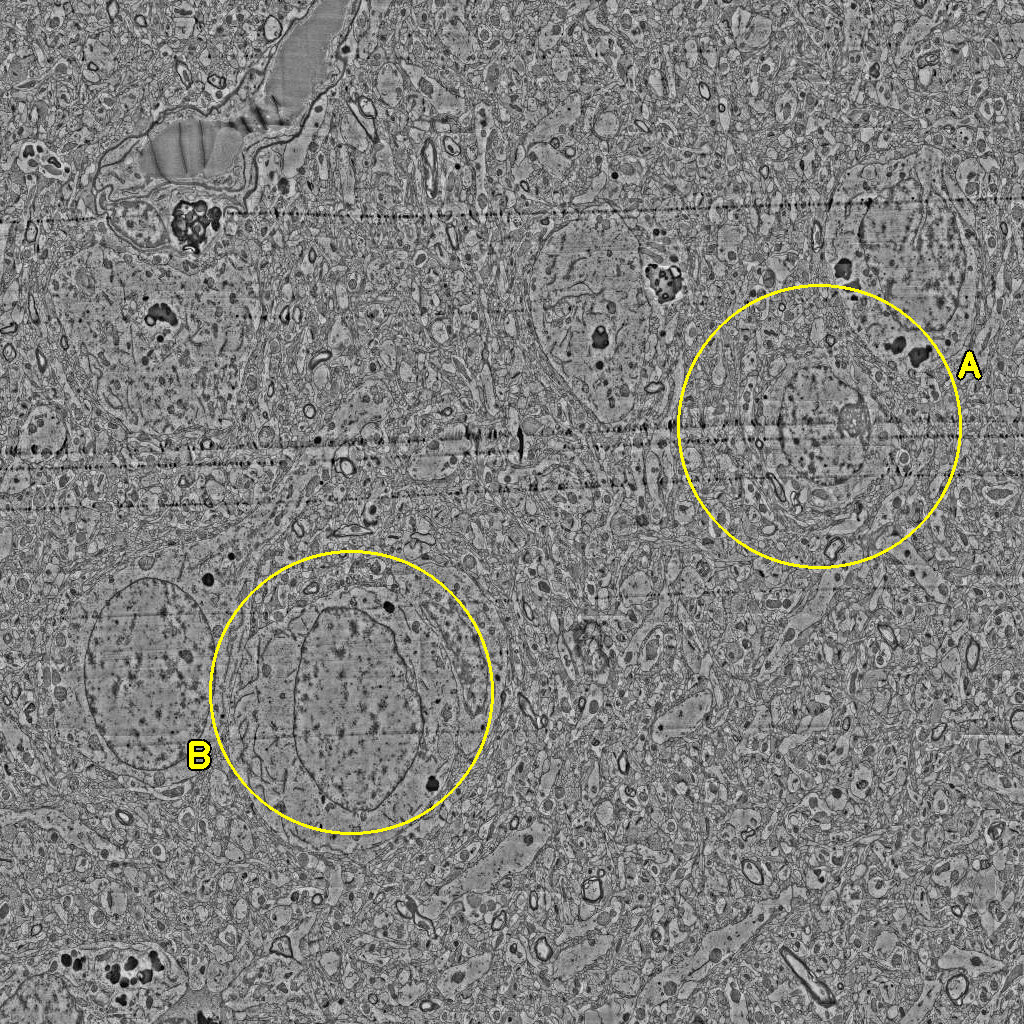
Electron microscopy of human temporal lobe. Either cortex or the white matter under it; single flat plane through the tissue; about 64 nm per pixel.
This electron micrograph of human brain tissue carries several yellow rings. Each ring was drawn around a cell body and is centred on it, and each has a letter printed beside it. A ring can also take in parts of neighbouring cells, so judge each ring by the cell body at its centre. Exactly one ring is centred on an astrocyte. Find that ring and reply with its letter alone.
A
